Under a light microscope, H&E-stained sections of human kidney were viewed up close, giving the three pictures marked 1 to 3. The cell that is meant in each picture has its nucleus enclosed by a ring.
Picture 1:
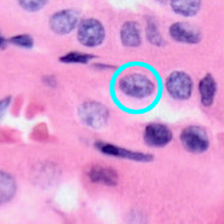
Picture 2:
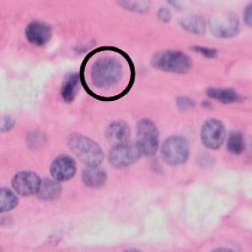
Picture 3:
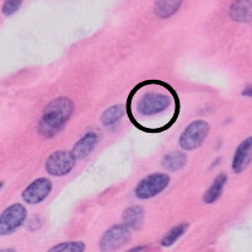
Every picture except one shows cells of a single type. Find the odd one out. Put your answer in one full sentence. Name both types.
The others show “loop of Henle or distal tubule cells”, but picture 3 shows a collecting duct cell.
